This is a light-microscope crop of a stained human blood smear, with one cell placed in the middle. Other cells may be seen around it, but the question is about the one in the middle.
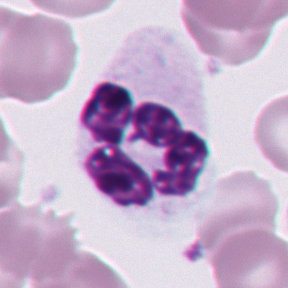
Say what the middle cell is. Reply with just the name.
segmented neutrophil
